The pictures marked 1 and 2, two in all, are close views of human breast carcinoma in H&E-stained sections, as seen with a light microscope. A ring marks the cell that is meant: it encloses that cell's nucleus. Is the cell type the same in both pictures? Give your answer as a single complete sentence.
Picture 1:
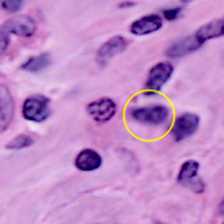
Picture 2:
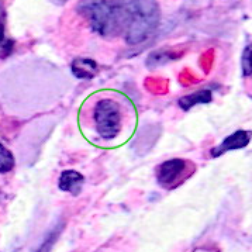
No; the cell in picture 1 is a lymphocyte, while the one in picture 2 is a mast cell.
